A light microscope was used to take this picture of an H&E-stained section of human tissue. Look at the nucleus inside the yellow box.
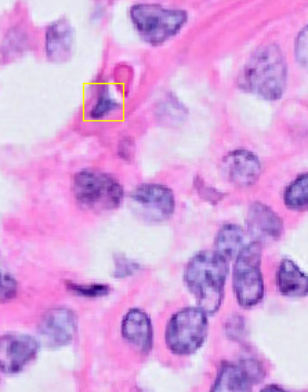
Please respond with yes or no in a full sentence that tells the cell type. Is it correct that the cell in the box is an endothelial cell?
Yes, the cell in the box is categorized as an endothelial cell in this section.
